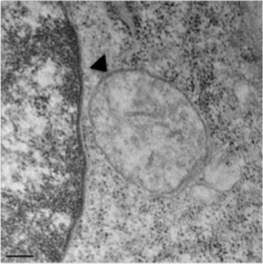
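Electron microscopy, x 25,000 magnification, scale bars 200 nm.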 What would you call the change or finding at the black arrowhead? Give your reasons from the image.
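A large round organelle with a double membrane beside the nuclear envelope. Its matrix is pale and almost empty of cristae. The answer: mitochondrial swelling and loss of cristae architecture.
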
